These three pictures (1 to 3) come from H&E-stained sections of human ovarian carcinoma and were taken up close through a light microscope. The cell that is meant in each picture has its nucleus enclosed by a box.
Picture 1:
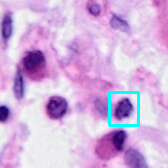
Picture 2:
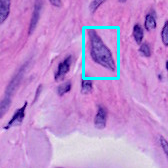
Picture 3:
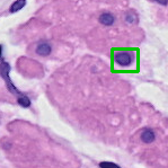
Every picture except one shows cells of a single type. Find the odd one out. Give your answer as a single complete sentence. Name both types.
Picture 1 is the odd one out: it shows a lymphocyte, while the others show smooth muscle cells.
